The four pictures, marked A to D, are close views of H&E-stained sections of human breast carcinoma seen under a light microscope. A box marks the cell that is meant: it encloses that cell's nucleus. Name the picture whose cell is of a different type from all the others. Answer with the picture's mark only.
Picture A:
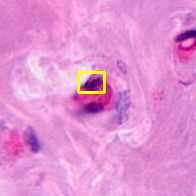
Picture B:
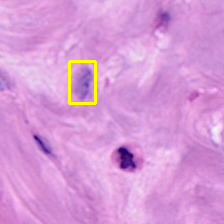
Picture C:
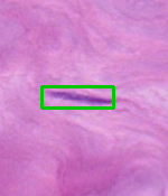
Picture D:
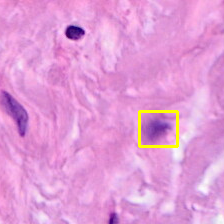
A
